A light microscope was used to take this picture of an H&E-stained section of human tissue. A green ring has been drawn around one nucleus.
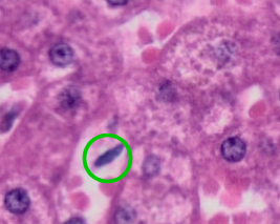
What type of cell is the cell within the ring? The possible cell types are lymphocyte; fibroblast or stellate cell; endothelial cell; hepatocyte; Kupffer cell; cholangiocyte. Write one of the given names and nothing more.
lymphocyte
